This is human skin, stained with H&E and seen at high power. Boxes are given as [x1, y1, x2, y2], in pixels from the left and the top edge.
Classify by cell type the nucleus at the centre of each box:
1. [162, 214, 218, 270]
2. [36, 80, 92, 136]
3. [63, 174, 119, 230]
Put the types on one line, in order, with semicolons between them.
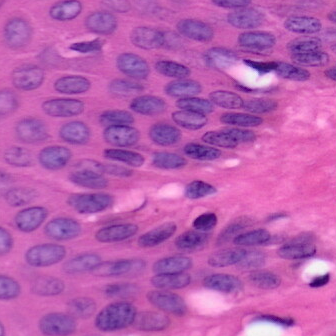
basal keratinocyte; suprabasal keratinocyte; basal keratinocyte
